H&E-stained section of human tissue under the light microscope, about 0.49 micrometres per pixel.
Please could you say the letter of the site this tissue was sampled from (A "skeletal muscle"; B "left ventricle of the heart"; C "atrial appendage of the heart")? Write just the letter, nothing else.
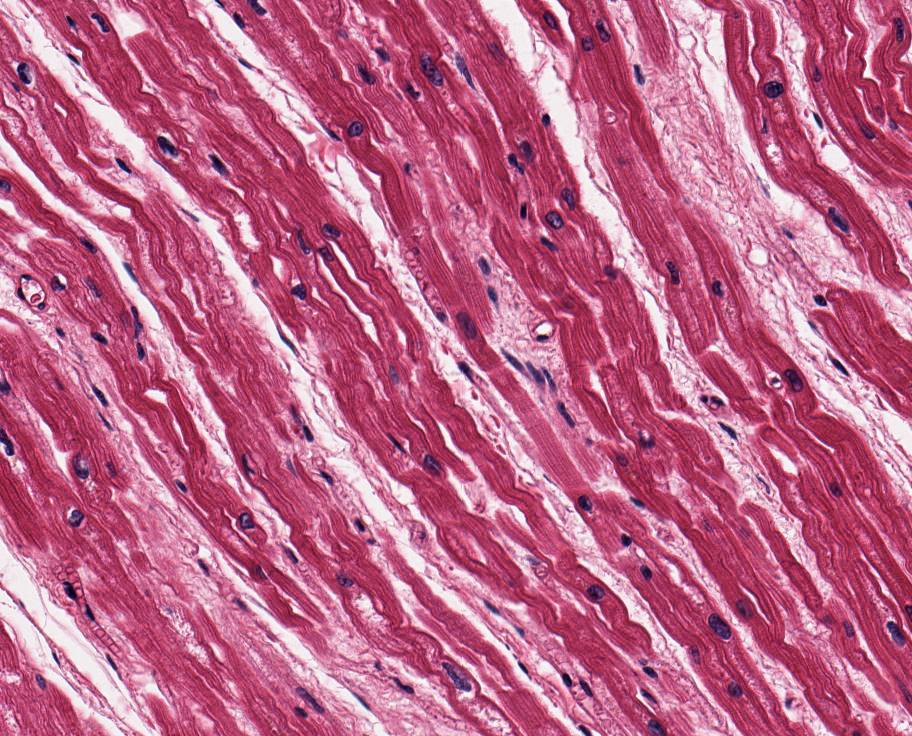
C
